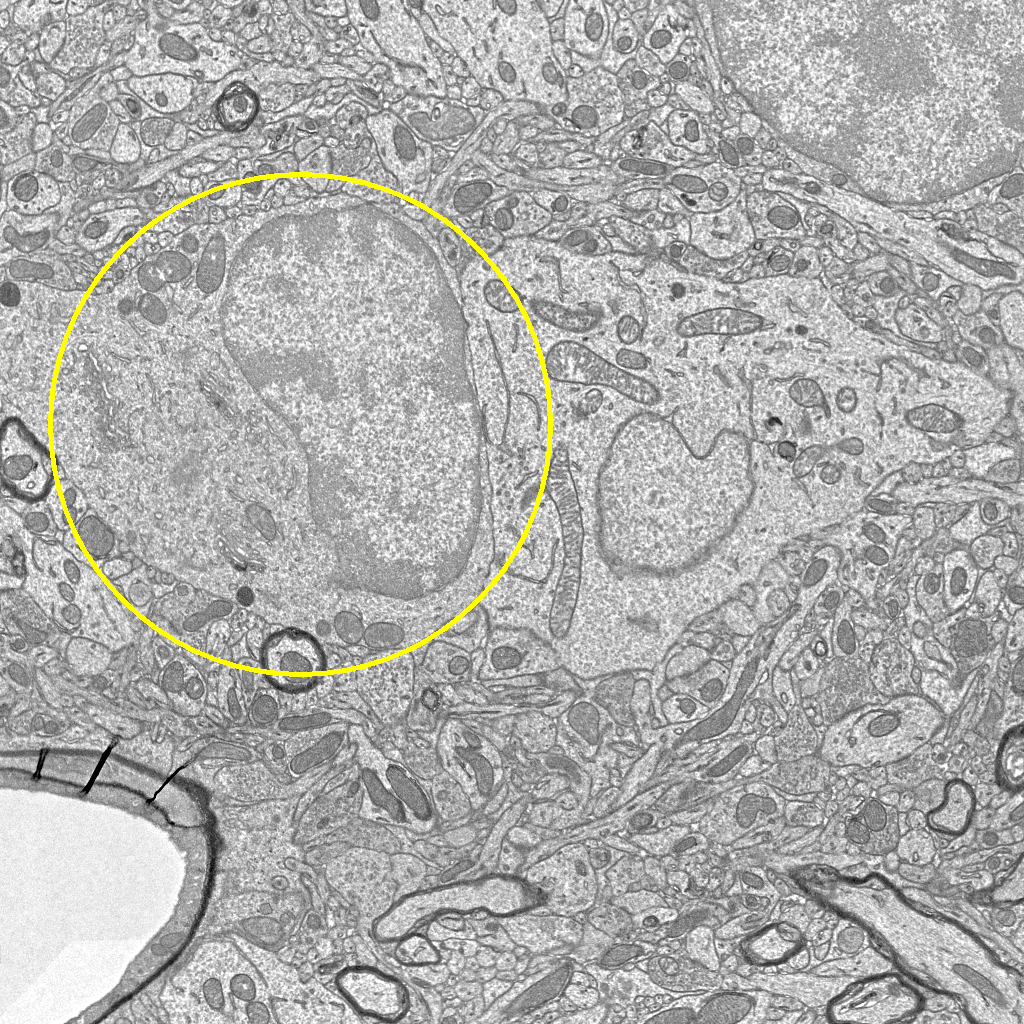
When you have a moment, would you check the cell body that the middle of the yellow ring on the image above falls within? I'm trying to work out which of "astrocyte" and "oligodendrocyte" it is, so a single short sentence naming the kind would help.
This cell body belongs to an oligodendrocyte.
